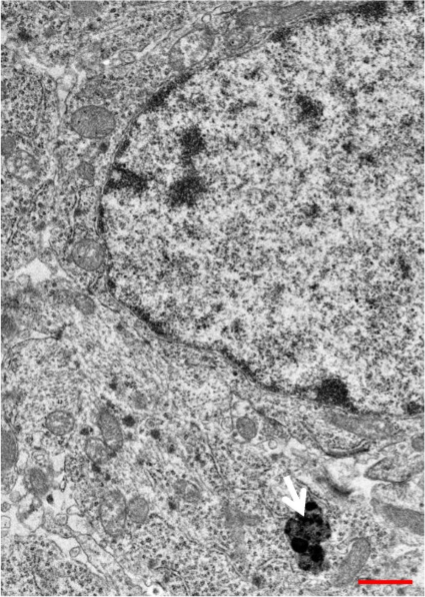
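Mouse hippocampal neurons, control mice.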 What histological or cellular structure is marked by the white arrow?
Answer: Lipofuscins.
